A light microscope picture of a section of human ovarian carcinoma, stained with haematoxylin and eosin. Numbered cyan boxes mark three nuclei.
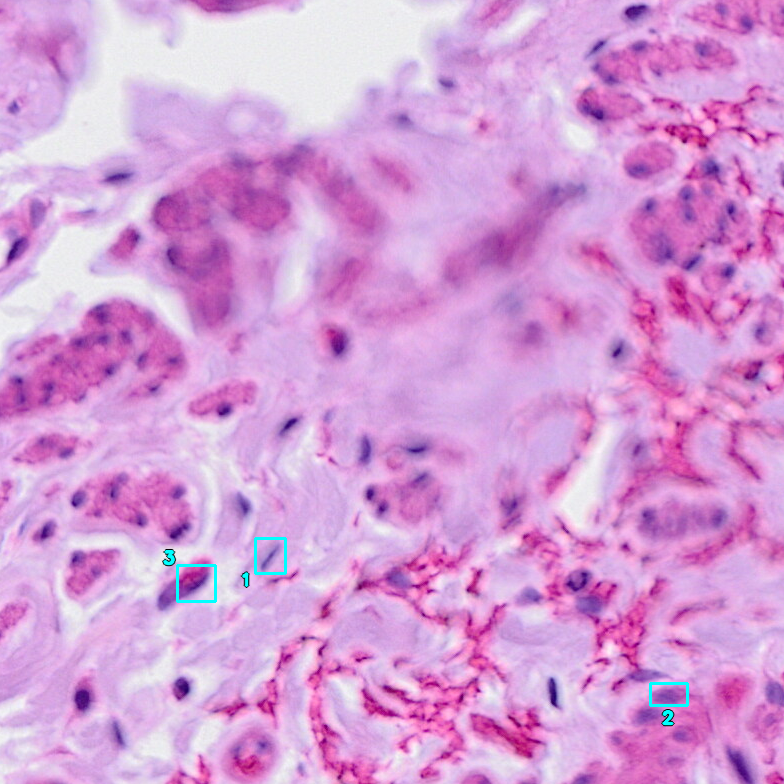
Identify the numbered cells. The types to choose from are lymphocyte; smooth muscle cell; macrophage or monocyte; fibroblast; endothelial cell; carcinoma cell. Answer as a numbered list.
1. fibroblast
2. smooth muscle cell
3. endothelial cell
